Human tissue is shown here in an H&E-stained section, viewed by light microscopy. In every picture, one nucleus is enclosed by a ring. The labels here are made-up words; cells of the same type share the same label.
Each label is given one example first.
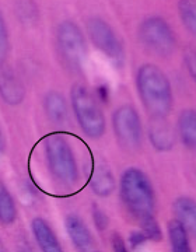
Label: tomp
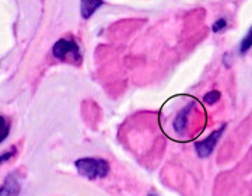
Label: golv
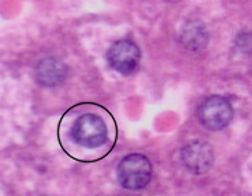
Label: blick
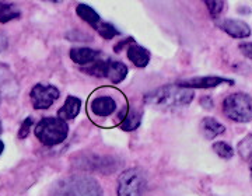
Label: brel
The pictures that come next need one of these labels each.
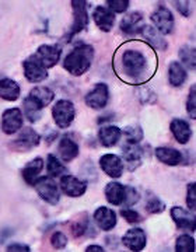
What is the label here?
brel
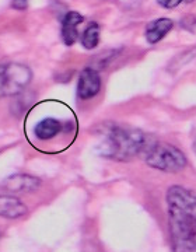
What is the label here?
brel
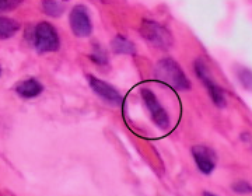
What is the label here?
golv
